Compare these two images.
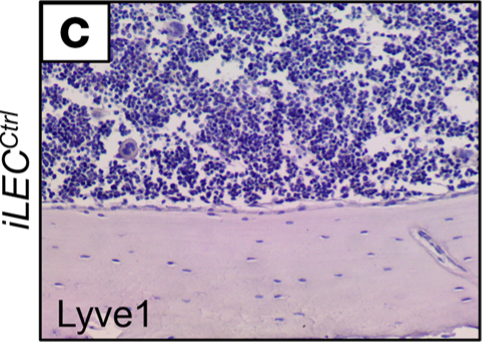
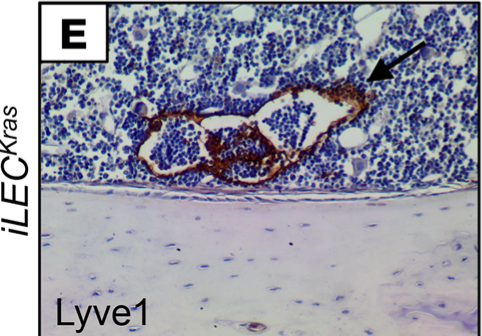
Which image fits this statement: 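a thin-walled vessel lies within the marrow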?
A: The second image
